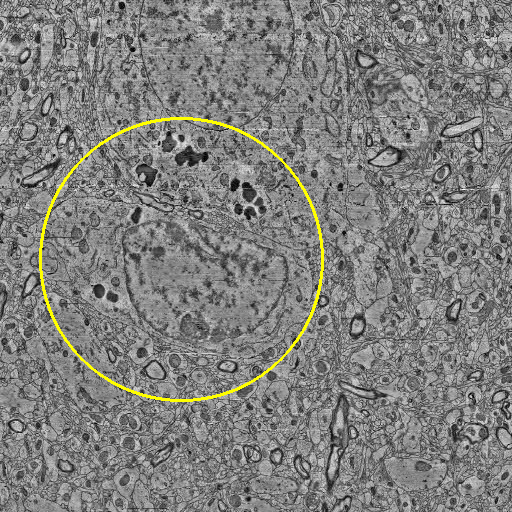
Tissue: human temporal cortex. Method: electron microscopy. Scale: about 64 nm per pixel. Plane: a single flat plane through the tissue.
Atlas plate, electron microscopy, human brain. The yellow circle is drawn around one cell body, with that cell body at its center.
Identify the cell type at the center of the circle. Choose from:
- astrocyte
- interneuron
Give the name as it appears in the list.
interneuron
